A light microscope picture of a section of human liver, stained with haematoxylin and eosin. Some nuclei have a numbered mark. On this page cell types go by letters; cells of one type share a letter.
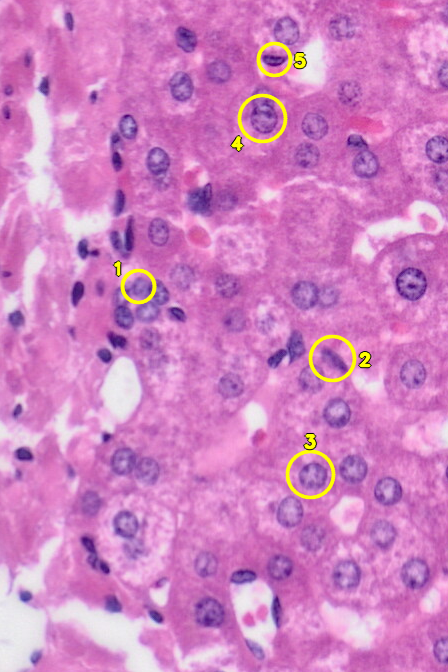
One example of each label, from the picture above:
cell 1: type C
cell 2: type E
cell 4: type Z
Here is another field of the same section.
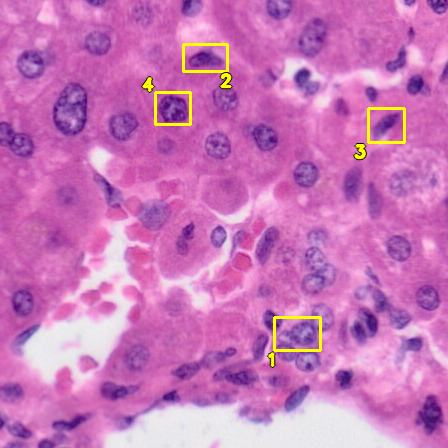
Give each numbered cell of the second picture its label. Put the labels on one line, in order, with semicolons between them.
type C; type E; type E; type Z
